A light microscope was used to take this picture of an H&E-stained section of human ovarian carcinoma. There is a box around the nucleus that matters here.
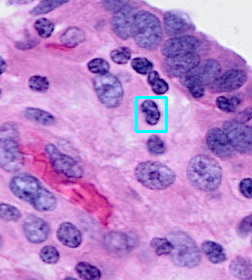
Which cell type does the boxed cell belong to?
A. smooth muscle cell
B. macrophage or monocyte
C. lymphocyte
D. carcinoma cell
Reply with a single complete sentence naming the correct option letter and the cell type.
The choice that fits is option C, as the boxed cell is a lymphocyte.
